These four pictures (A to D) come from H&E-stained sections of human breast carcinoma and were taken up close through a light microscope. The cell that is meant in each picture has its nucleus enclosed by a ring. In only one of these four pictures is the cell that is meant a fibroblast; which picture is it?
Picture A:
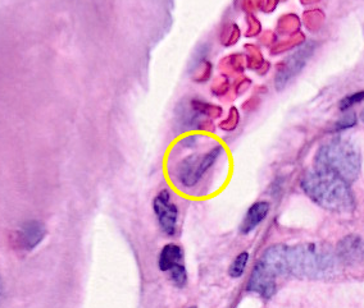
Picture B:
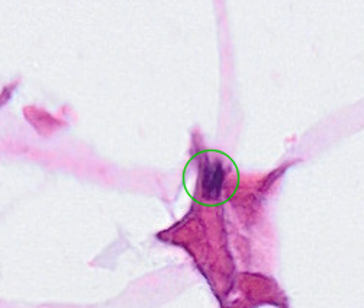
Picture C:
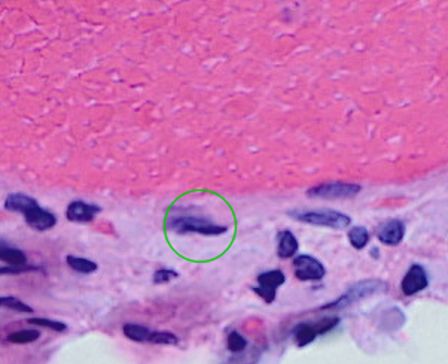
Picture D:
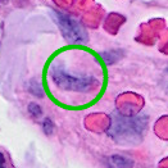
C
